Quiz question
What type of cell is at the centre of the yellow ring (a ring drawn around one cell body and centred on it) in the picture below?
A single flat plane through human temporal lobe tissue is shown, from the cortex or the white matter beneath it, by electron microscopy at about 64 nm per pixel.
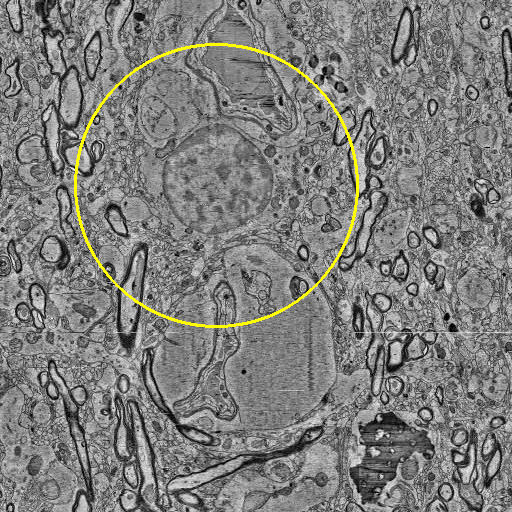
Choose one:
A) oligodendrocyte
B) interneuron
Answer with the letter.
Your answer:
A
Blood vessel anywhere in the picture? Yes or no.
Yes, one is visible.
